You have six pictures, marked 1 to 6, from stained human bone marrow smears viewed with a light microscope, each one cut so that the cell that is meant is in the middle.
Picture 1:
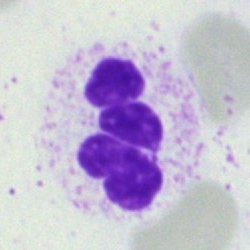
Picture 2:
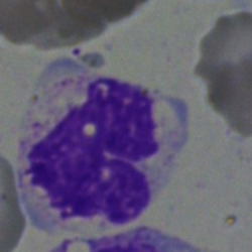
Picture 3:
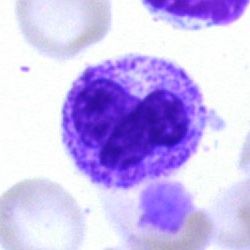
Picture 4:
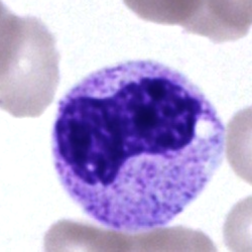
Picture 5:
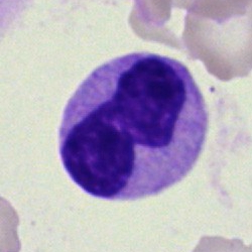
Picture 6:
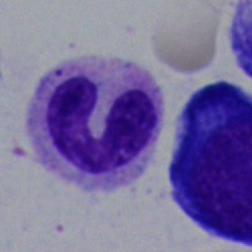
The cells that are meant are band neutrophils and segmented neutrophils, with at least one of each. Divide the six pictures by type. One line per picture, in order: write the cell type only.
segmented neutrophil
segmented neutrophil
band neutrophil
band neutrophil
band neutrophil
band neutrophil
